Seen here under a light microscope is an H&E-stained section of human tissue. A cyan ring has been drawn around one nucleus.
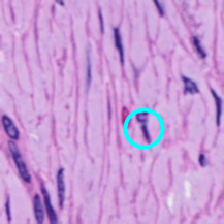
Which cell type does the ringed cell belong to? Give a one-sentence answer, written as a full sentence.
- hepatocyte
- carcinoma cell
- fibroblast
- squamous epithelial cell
In the stained section, the ringed cell is a fibroblast.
